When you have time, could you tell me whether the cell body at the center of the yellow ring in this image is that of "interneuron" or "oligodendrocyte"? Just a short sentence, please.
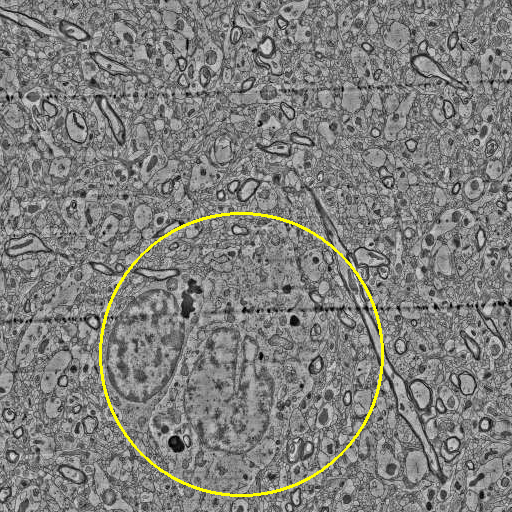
The cell body at the center of the ring is that of an interneuron.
